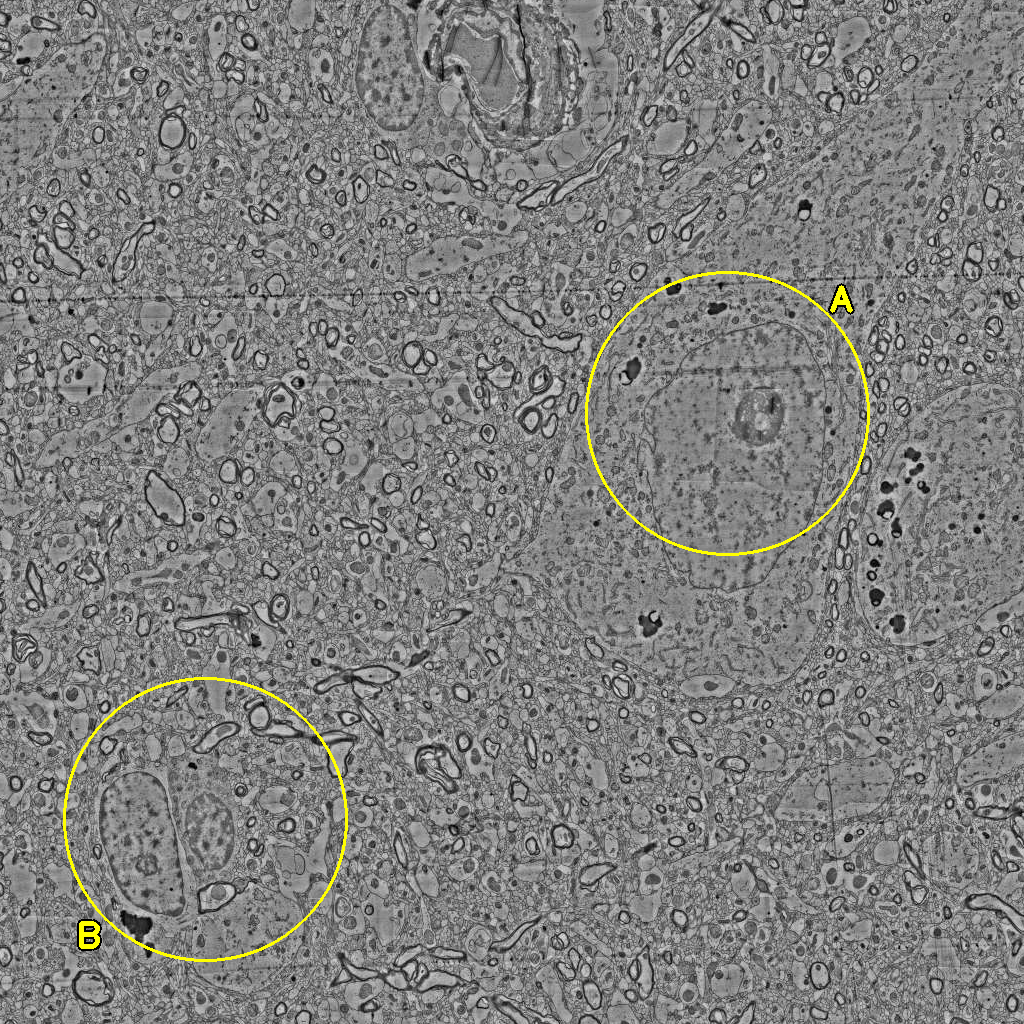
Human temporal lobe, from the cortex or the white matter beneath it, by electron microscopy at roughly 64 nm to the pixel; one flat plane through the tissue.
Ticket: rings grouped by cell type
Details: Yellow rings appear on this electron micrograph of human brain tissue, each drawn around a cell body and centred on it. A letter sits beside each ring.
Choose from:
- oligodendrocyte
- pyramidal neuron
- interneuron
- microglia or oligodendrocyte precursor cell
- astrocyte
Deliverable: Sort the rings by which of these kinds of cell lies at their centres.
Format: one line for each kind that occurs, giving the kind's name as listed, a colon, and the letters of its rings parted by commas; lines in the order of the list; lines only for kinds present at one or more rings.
oligodendrocyte: B
pyramidal neuron: A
